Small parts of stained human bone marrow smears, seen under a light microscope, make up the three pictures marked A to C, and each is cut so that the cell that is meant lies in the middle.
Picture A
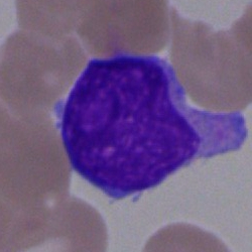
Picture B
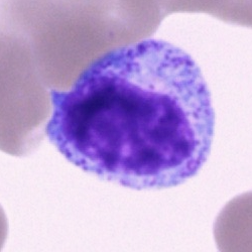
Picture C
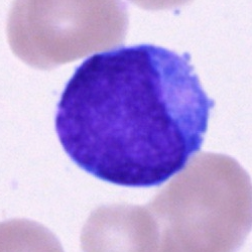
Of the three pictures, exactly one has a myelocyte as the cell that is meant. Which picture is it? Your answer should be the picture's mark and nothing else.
B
